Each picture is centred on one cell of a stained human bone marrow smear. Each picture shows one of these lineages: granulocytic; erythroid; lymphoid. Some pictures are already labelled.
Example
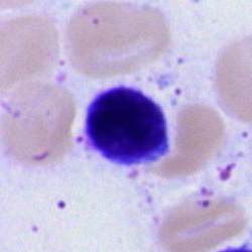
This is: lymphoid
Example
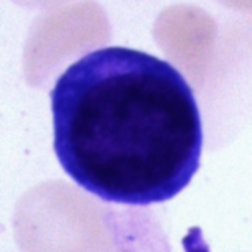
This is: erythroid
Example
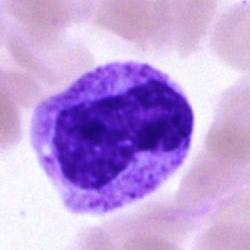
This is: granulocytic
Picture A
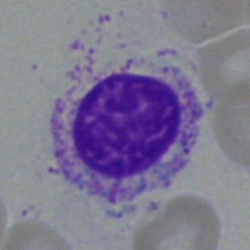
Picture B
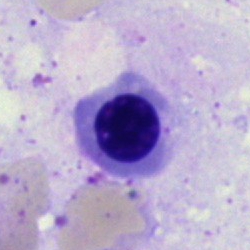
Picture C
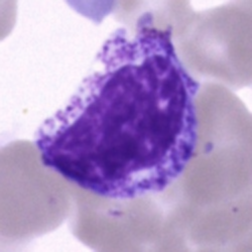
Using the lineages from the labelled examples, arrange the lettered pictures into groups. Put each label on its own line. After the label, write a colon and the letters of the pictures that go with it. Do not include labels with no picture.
granulocytic: A, C
erythroid: B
